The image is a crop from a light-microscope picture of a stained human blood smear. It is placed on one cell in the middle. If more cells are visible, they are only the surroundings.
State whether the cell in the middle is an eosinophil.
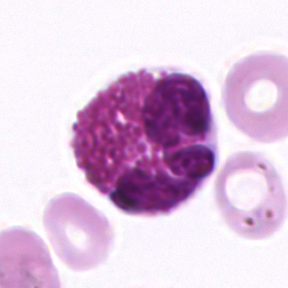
yes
